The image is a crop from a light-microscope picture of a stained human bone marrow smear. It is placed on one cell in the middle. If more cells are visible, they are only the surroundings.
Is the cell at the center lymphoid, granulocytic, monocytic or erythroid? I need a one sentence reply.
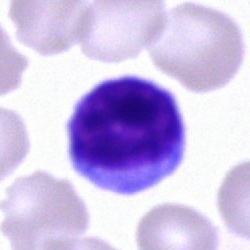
The cell in the middle of the crop is sorted into the lymphoid lineage.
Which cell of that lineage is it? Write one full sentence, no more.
In the middle of this smear crop is a lymphocyte.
